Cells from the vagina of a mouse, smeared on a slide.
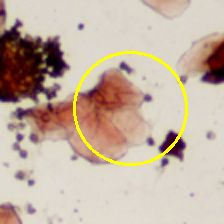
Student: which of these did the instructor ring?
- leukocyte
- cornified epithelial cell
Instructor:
The cell I ringed is a cornified epithelial cell.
